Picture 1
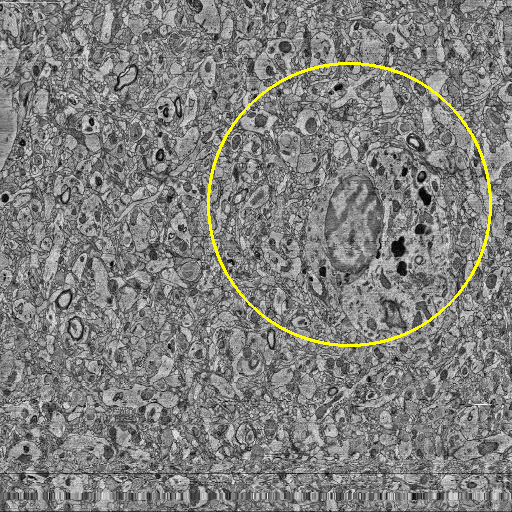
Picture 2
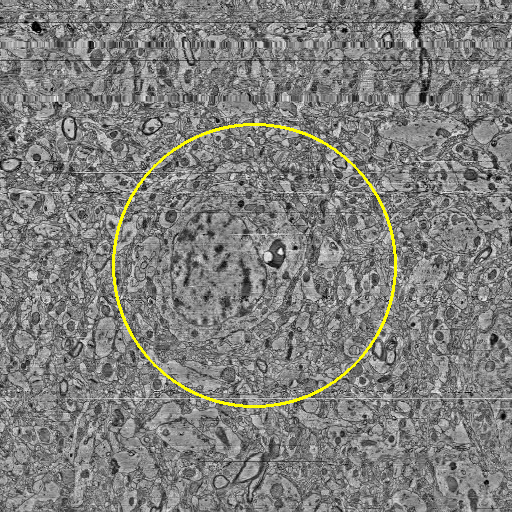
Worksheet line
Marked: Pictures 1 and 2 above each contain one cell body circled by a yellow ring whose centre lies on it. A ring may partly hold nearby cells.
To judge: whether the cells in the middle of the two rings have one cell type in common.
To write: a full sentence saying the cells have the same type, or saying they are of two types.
The cells in the middle of the rings in Picture 1 and Picture 2 are of two types.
